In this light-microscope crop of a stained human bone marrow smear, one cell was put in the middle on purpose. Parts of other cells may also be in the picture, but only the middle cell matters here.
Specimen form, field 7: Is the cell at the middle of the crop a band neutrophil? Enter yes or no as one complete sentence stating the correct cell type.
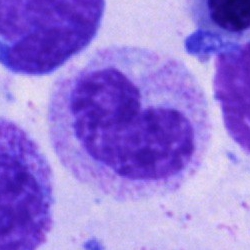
No, it is a metamyelocyte and not a band neutrophil that occupies the middle of the crop.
